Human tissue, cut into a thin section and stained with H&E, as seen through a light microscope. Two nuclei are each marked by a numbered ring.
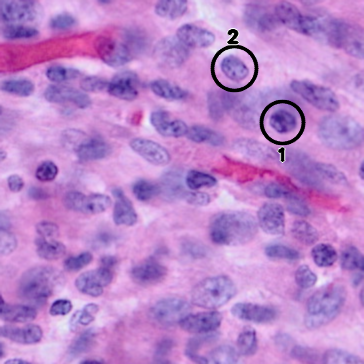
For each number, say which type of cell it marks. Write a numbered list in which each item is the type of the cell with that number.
1. lymphocyte
2. macrophage or monocyte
